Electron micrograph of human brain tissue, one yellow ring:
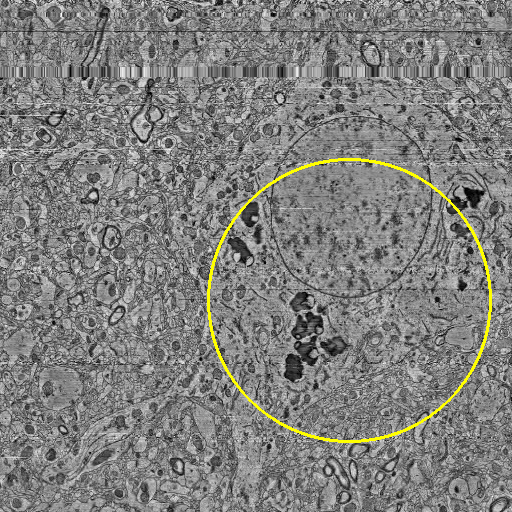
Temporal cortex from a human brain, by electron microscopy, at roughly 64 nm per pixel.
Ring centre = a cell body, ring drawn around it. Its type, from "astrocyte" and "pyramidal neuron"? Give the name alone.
pyramidal neuron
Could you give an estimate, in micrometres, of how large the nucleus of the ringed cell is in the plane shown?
In this plane, about 12 micrometres in length and 11 in width.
